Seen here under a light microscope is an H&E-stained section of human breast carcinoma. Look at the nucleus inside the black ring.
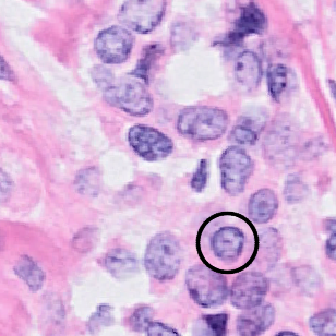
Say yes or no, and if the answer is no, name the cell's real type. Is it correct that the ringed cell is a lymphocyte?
No, it is a carcinoma cell.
